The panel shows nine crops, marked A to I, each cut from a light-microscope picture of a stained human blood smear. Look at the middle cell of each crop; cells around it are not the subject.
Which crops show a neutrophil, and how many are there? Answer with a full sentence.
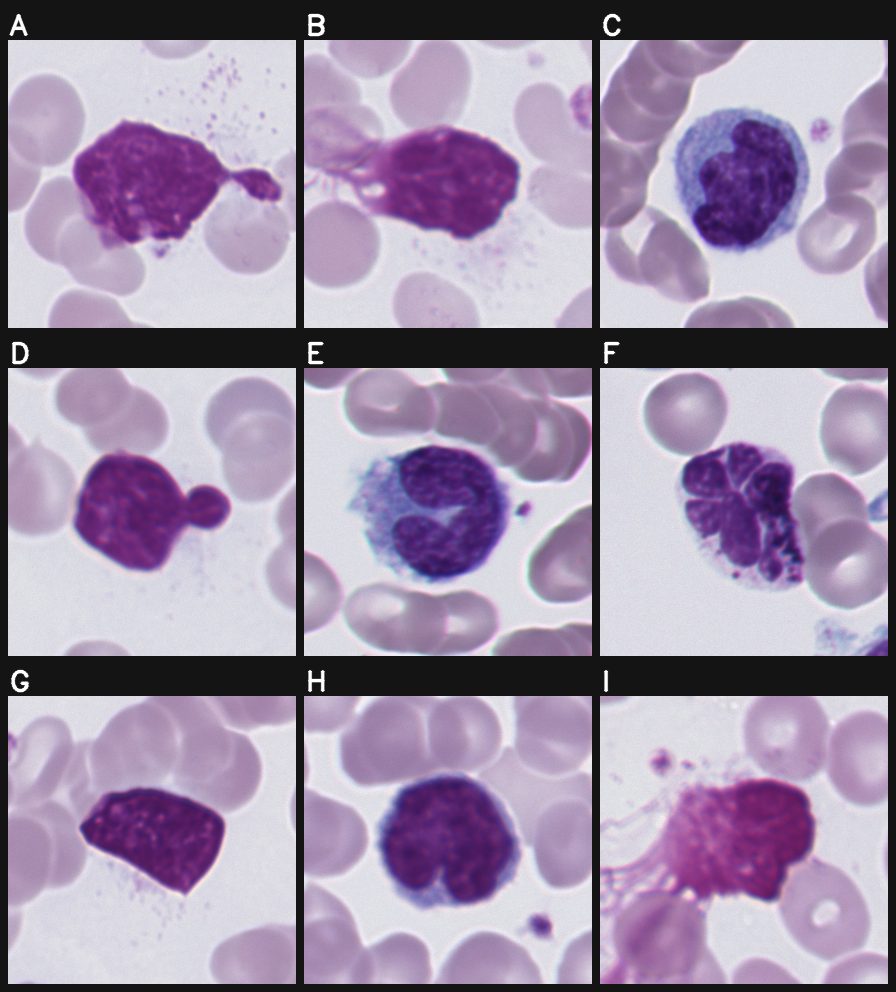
The crops include no neutrophils, so their count is zero.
